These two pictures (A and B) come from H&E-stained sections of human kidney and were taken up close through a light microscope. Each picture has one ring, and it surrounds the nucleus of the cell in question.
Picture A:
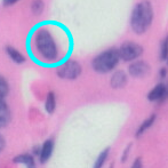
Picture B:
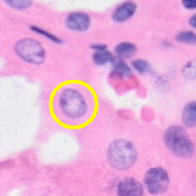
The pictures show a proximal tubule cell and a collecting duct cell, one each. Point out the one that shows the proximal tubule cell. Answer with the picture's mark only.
B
